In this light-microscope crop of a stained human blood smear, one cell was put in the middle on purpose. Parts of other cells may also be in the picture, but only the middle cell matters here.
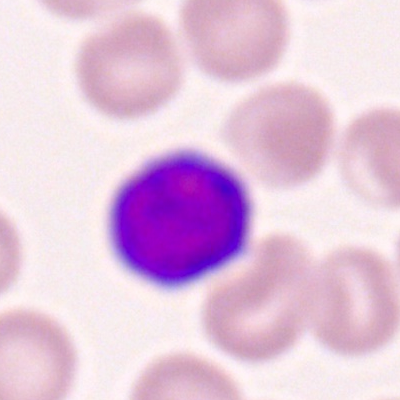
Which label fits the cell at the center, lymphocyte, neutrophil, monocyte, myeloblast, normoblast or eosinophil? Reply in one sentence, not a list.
In short, the cell at the center is a lymphocyte.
